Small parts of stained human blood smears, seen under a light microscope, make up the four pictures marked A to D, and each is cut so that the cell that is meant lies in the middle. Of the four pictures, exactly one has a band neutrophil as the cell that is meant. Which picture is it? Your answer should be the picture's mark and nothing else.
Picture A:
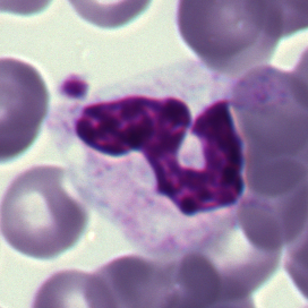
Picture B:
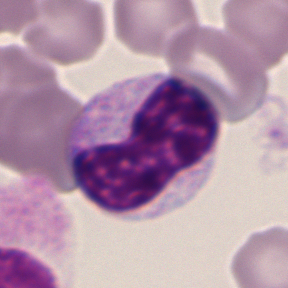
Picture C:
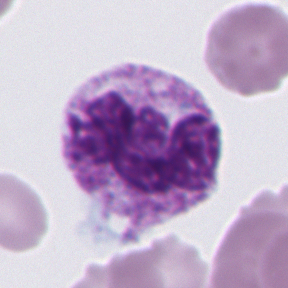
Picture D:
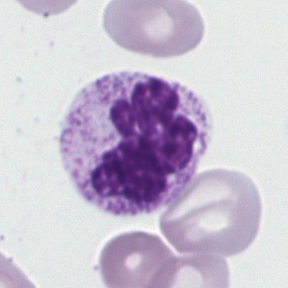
B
